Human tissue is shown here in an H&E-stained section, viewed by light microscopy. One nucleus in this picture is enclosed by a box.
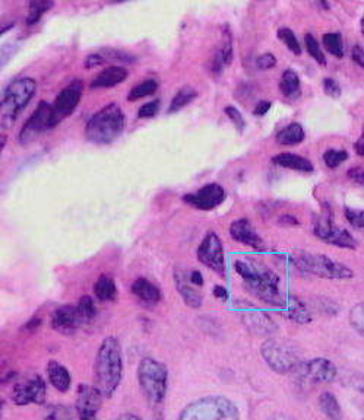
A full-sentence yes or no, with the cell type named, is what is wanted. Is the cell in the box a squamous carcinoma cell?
Yes, the cell in the box is accurately described as a squamous carcinoma cell.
